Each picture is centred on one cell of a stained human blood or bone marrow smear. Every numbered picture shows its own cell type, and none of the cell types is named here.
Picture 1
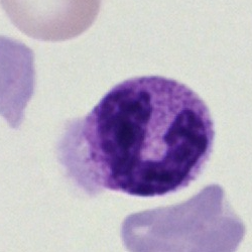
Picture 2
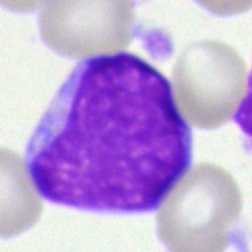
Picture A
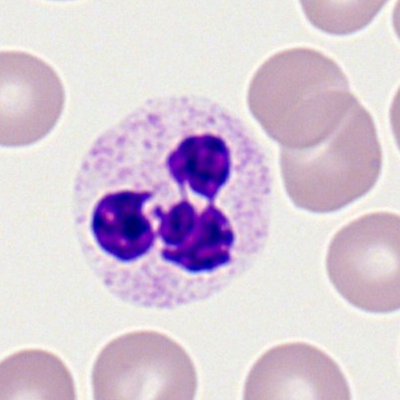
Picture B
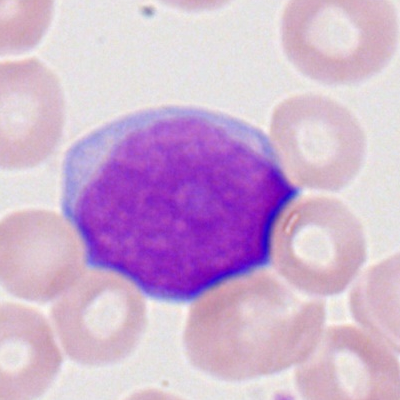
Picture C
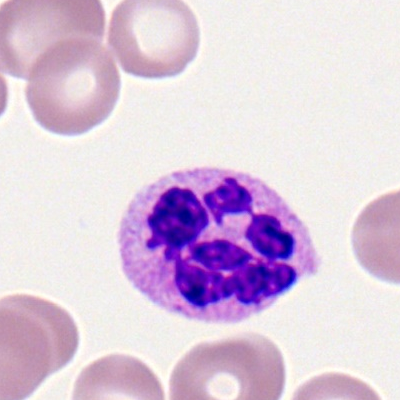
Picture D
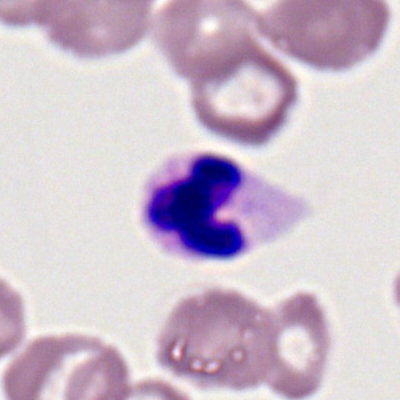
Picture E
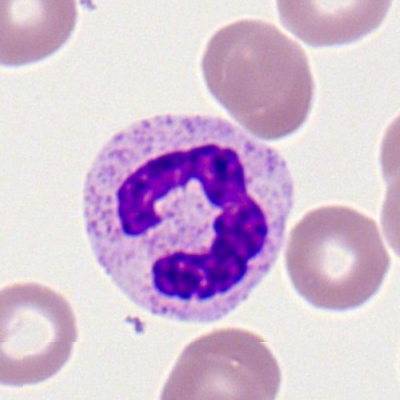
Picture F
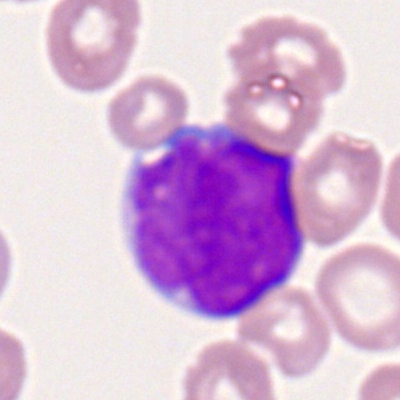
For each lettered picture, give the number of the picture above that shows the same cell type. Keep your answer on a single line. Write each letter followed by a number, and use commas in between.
A 1, B 2, C 1, D 1, E 1, F 2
